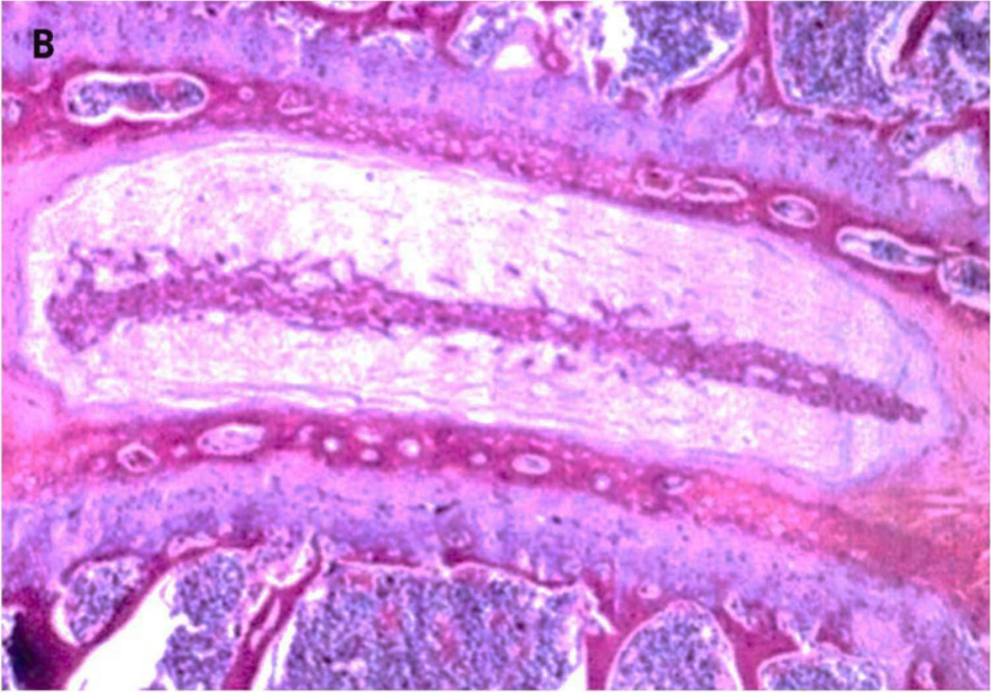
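This is a section through a disc lying between two bone-bearing regions, stained pink and purple. The middle is a wide, pale, loose-looking matrix, and through it runs a long, dark purple band of closely packed cells with ragged edges, quite unlike an even, homogeneous center. Above and below, the pale core is bordered by bright pink bands pierced by small rounded and oval spaces, and beyond them lie purple-tinged zones of cartilage-like tissue. At the top and bottom edges are cavities filled with densely packed small purple cells, separated by pink bony walls.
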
